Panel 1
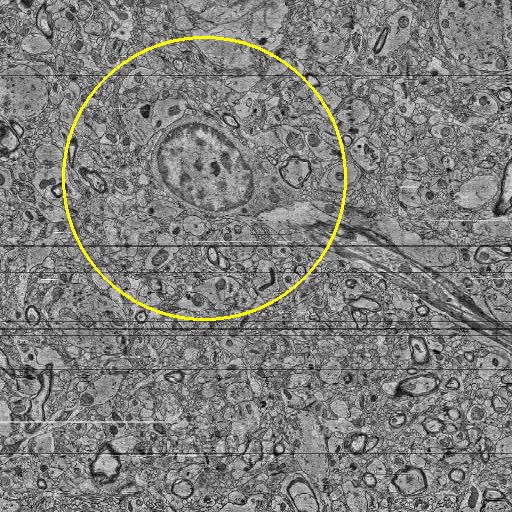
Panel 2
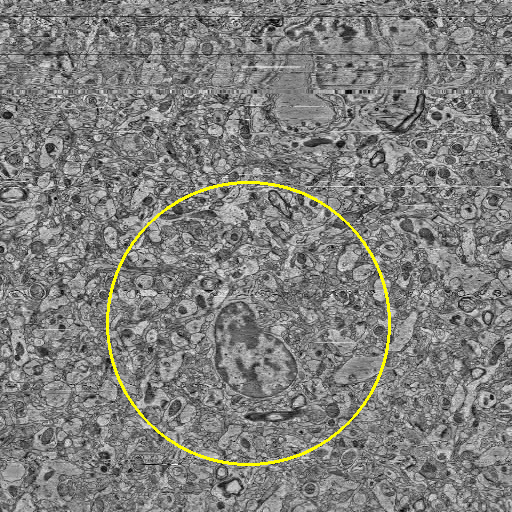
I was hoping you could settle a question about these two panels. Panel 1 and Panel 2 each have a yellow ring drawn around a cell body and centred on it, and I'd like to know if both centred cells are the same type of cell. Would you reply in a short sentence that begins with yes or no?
No, they are two types of cell.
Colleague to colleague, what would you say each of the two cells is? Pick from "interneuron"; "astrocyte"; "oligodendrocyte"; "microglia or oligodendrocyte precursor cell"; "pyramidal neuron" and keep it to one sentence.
The cell in the first picture is an oligodendrocyte; the second picture's cell is a microglial cell or oligodendrocyte precursor cell.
